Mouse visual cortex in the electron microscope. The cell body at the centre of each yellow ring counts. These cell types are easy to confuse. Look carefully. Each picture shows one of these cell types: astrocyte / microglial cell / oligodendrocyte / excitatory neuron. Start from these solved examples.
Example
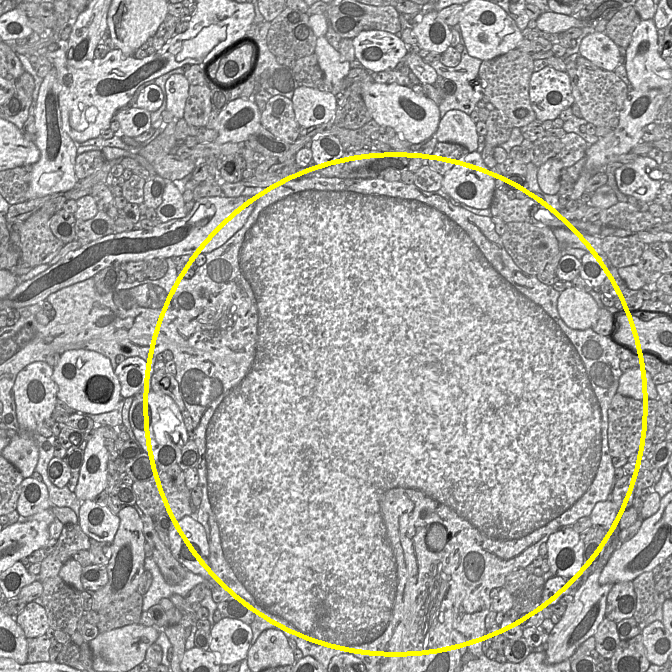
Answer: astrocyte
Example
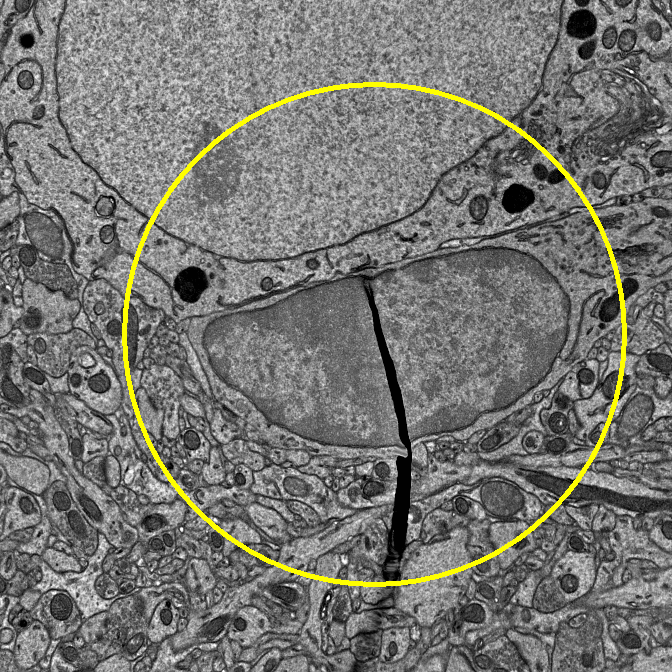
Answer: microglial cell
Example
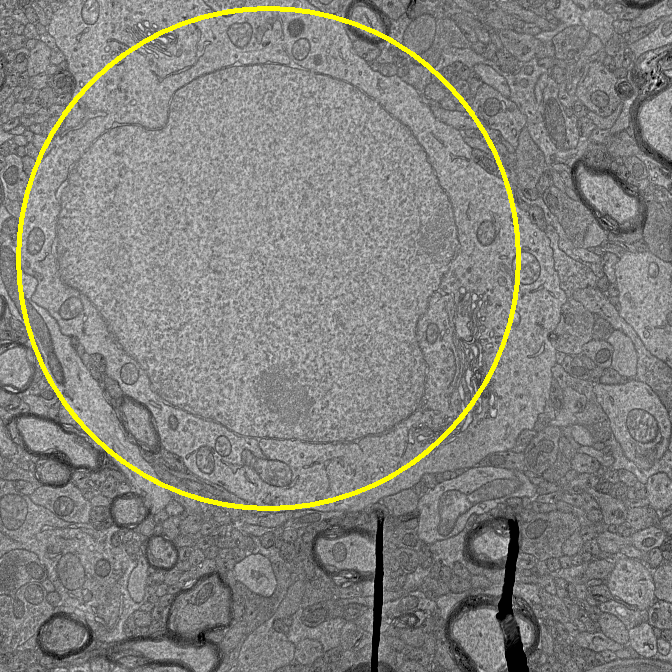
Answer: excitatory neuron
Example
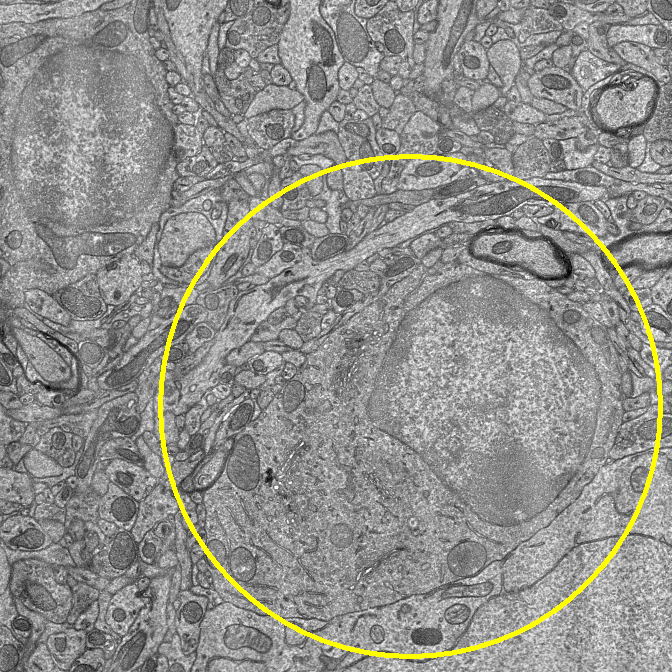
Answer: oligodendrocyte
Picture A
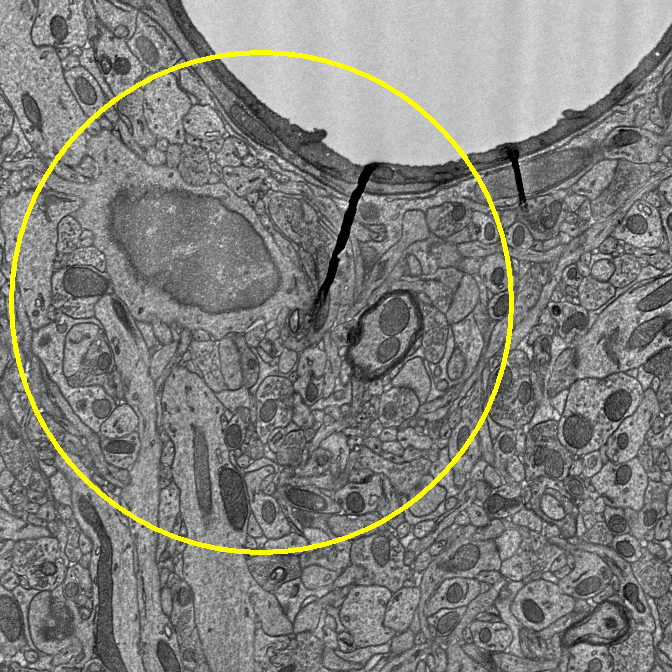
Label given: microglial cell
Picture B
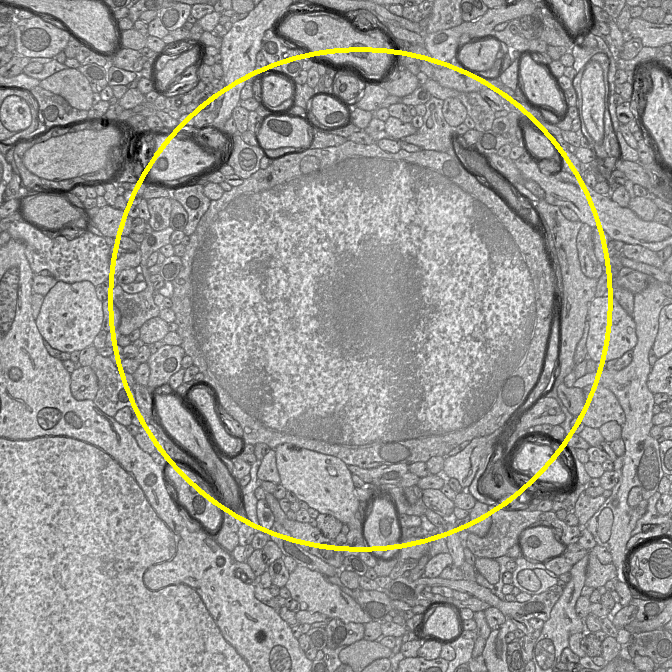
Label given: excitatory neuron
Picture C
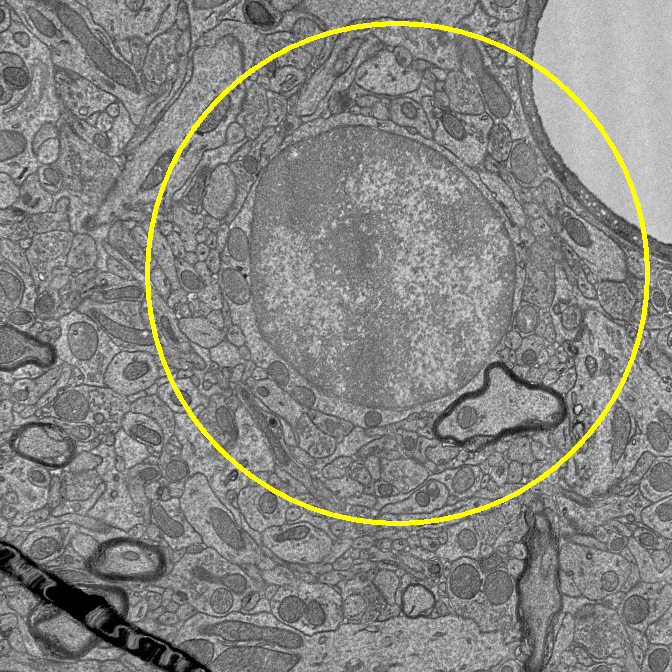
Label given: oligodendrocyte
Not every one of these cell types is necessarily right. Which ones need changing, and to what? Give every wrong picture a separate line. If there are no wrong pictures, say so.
B: not excitatory neuron but oligodendrocyte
